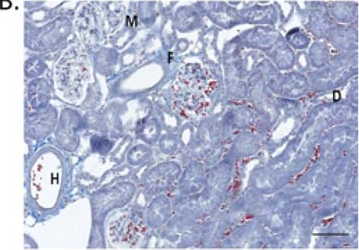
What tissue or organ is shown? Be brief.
Kidney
